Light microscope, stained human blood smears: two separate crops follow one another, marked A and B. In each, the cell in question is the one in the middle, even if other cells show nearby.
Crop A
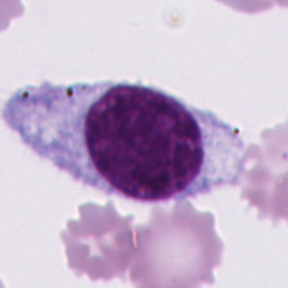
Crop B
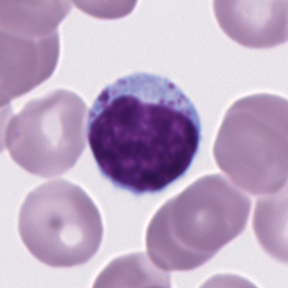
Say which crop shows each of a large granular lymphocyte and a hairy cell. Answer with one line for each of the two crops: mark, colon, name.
A: hairy cell
B: large granular lymphocyte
